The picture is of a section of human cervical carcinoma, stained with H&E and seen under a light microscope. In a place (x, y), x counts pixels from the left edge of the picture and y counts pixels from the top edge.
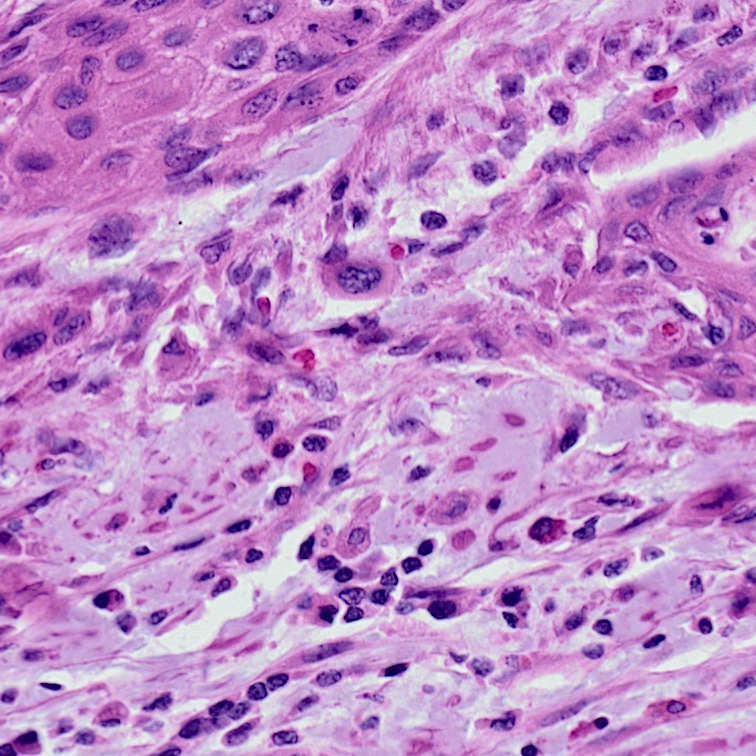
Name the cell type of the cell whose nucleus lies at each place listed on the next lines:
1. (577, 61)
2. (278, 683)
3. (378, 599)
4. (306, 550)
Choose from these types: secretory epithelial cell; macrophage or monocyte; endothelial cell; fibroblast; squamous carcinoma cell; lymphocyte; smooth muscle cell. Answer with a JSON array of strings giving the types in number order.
["macrophage or monocyte", "lymphocyte", "lymphocyte", "lymphocyte"]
